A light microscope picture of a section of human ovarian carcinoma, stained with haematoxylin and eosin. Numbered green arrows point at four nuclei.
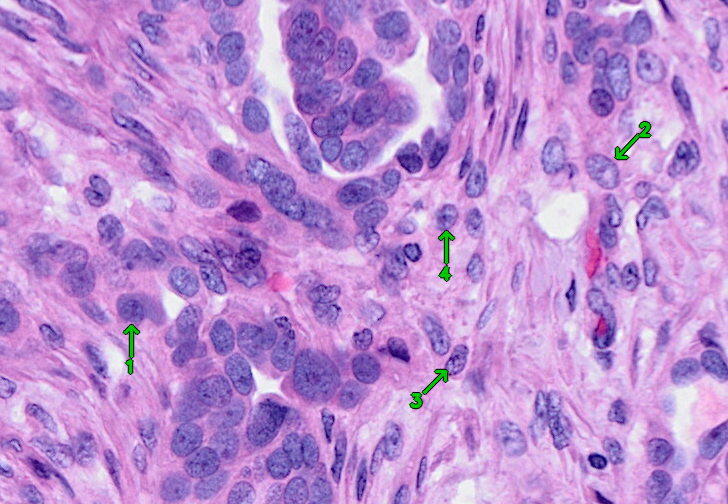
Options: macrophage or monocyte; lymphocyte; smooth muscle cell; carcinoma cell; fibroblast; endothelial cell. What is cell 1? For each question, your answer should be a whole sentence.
The marked nucleus 1 is that of a carcinoma cell.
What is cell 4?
Cell 4 in the field of view is a fibroblast.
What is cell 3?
Classified as a macrophage or monocyte is the cell with the number 3.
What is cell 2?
In this section, the cell tagged 2 is a fibroblast.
